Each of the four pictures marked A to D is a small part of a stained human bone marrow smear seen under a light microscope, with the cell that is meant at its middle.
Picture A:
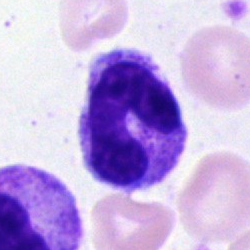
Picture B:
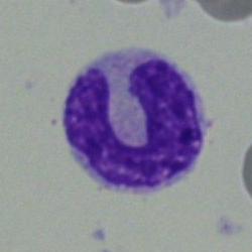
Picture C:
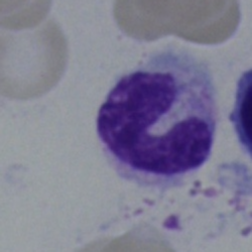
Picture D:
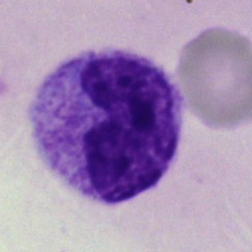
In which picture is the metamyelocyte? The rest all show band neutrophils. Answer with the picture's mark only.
D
